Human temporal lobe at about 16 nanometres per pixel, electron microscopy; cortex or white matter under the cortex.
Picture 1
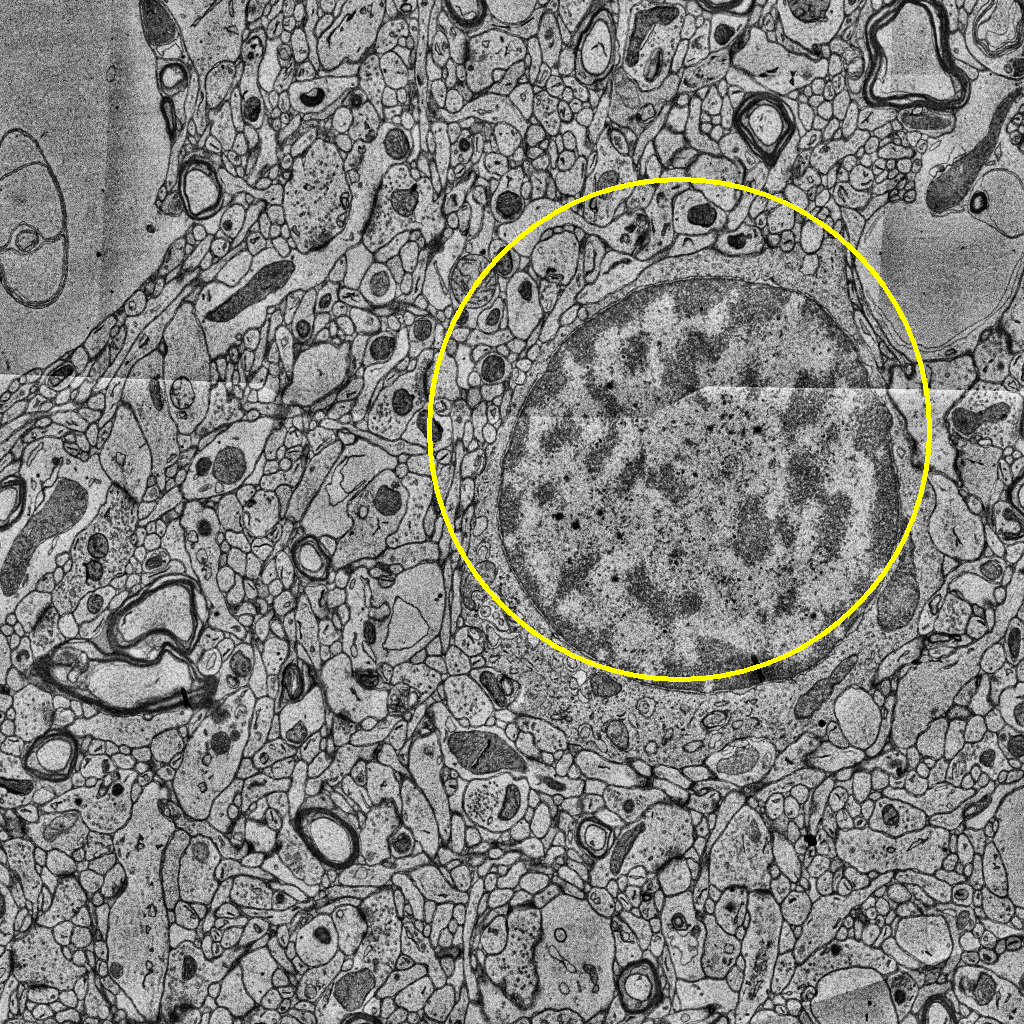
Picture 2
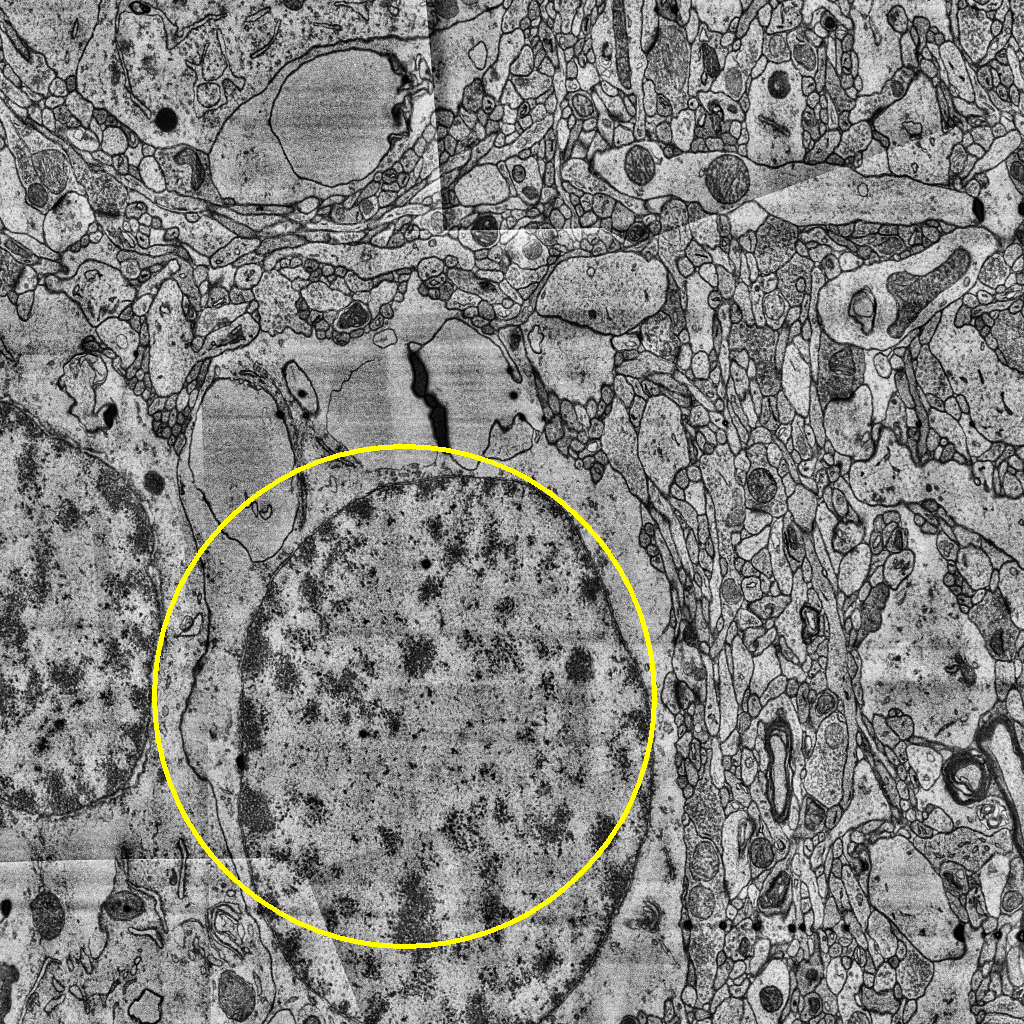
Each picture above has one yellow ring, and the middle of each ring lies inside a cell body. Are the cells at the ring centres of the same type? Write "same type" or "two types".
two types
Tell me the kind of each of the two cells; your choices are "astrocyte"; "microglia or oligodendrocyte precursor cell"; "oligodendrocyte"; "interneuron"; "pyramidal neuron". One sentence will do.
So the first is an oligodendrocyte, the second an astrocyte.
